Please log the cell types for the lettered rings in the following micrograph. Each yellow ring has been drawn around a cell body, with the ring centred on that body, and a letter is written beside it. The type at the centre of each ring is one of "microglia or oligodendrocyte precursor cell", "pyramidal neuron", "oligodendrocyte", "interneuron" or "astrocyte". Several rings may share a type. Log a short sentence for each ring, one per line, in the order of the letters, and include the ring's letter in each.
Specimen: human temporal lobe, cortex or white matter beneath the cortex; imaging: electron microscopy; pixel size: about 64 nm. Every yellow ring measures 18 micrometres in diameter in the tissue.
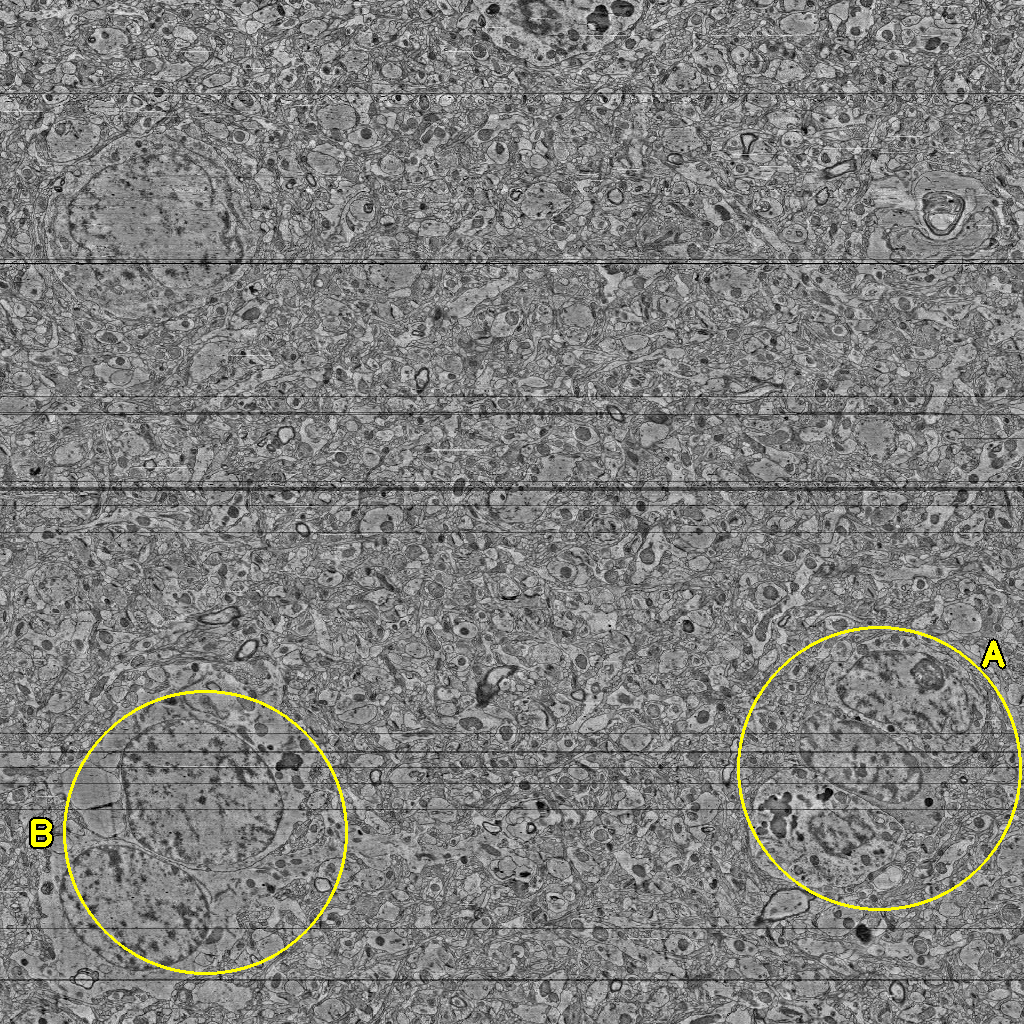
In ring A the central cell is an oligodendrocyte.
In ring B the central cell is an astrocyte.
